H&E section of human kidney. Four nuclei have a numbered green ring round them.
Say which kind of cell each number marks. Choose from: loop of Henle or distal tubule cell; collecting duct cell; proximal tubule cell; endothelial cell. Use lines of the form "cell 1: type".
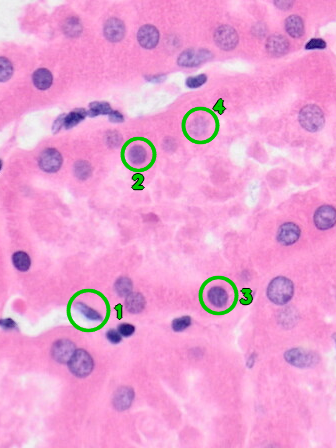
cell 1: endothelial cell
cell 2: proximal tubule cell
cell 3: proximal tubule cell
cell 4: proximal tubule cell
